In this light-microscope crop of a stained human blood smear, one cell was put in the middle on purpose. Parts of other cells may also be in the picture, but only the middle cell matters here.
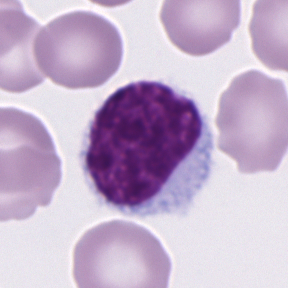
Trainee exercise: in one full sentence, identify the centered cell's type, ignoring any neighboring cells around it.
Where the crop is centred, there is a hairy cell.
